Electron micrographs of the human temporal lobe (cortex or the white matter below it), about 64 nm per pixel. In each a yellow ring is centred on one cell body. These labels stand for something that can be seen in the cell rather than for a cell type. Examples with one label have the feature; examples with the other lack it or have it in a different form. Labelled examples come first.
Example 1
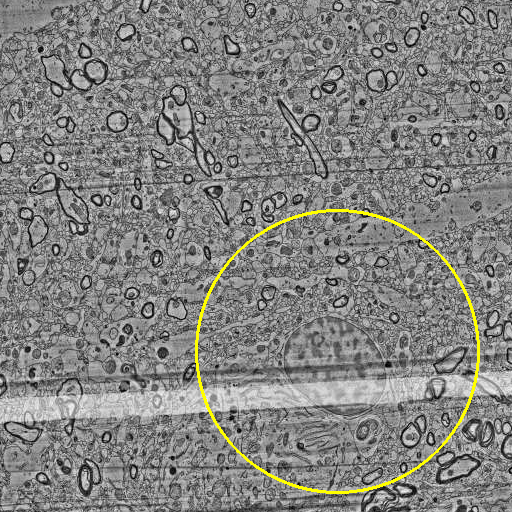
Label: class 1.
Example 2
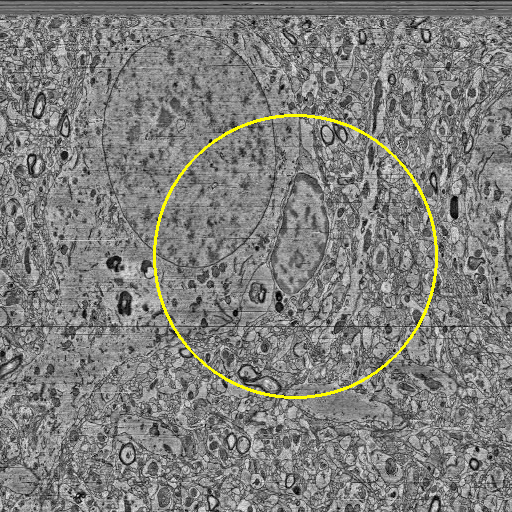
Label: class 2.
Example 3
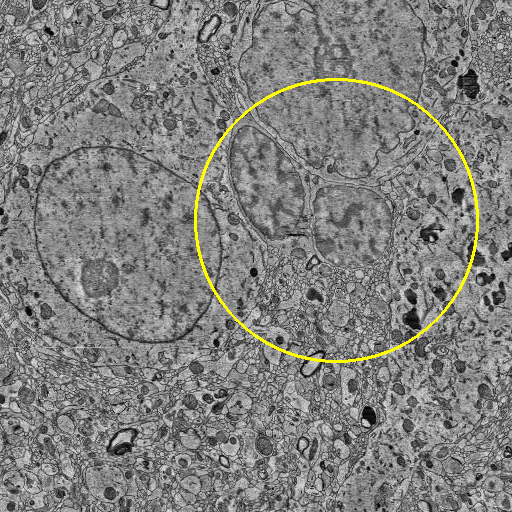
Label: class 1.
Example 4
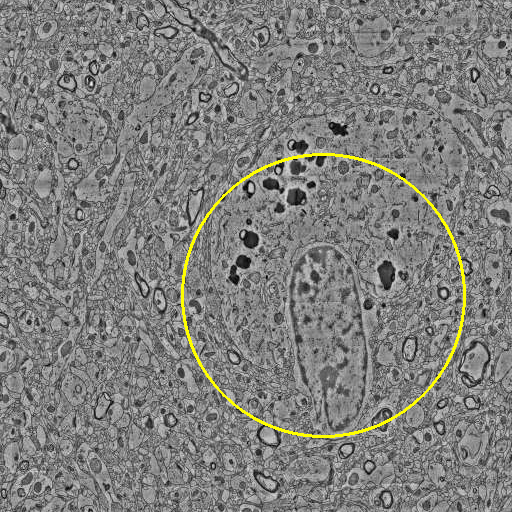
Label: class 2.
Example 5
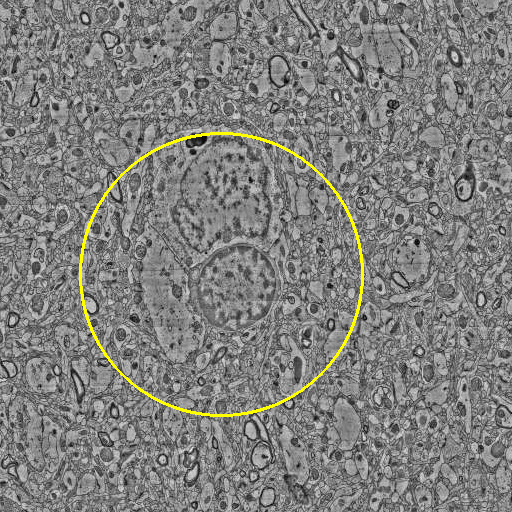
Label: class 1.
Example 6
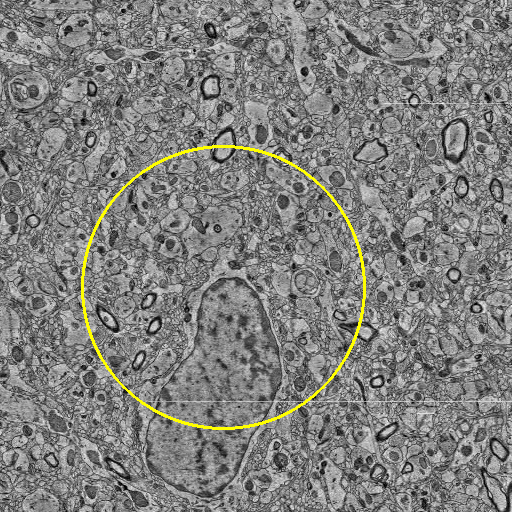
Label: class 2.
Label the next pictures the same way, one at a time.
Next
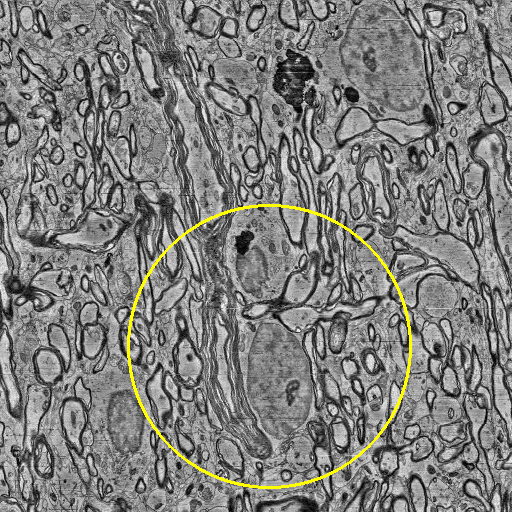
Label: class 2.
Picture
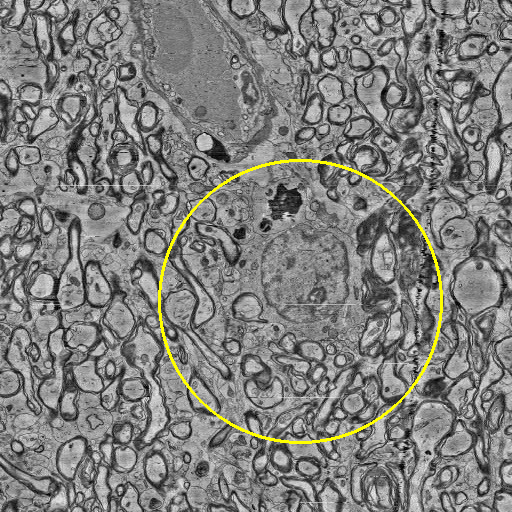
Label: class 1.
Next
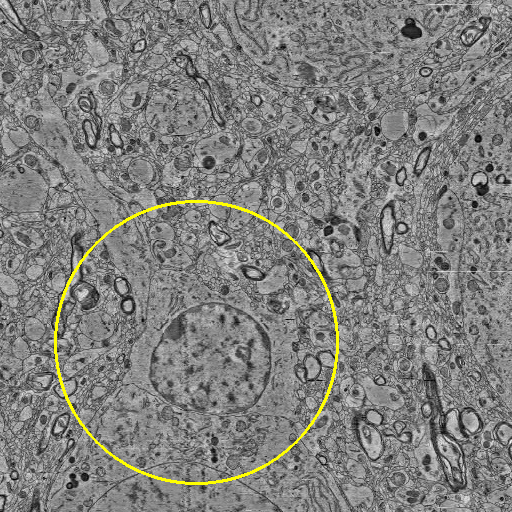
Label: class 1.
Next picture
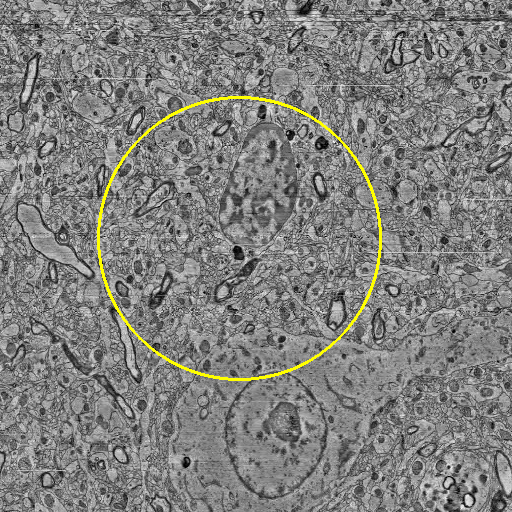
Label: class 2.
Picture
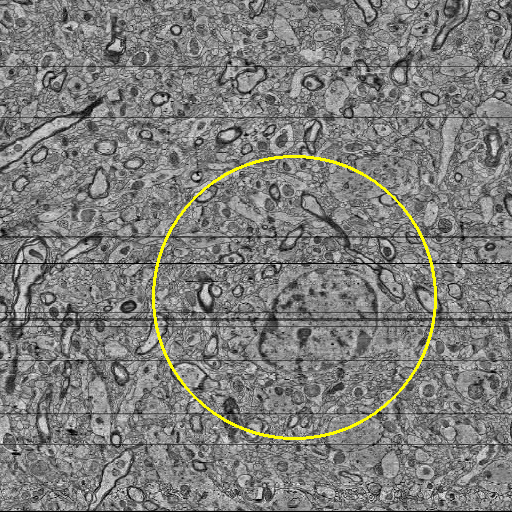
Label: class 1.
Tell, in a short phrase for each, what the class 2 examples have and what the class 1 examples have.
class 2: clearly elongated nuclei; class 1: round or nearly round nuclei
